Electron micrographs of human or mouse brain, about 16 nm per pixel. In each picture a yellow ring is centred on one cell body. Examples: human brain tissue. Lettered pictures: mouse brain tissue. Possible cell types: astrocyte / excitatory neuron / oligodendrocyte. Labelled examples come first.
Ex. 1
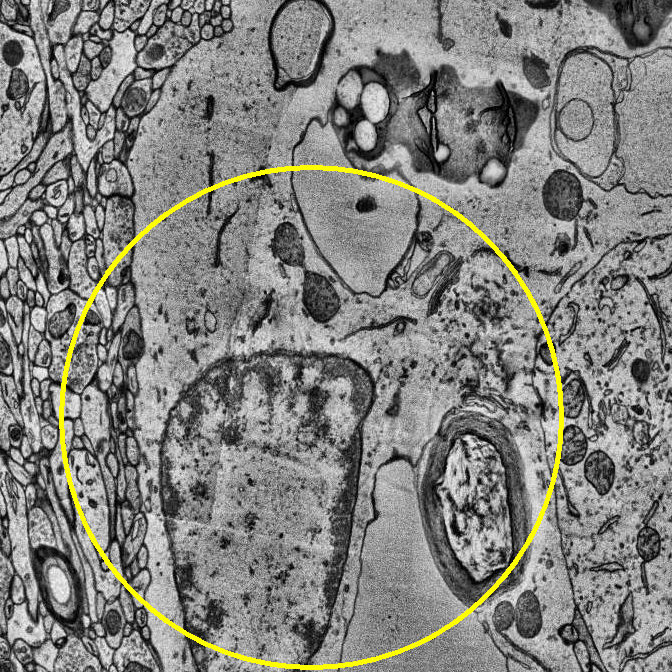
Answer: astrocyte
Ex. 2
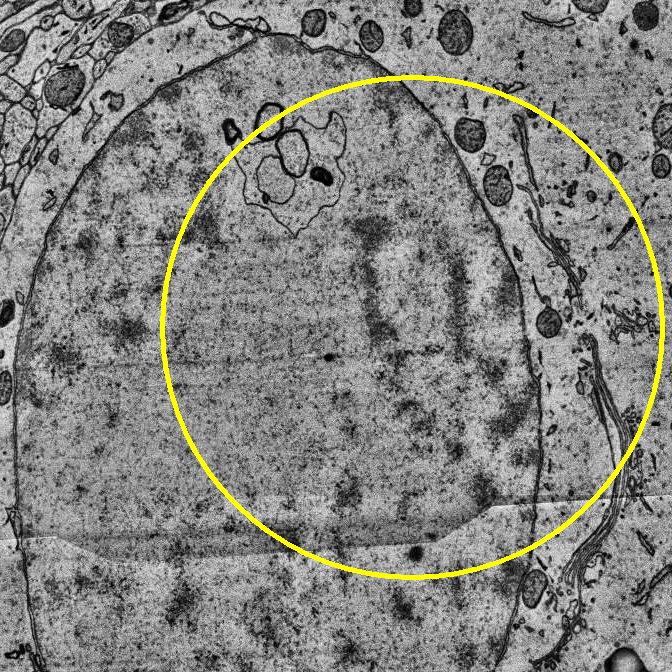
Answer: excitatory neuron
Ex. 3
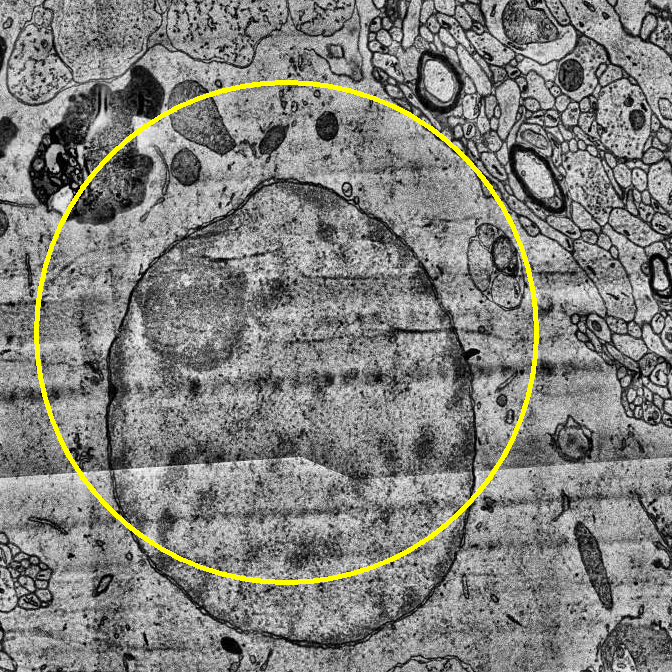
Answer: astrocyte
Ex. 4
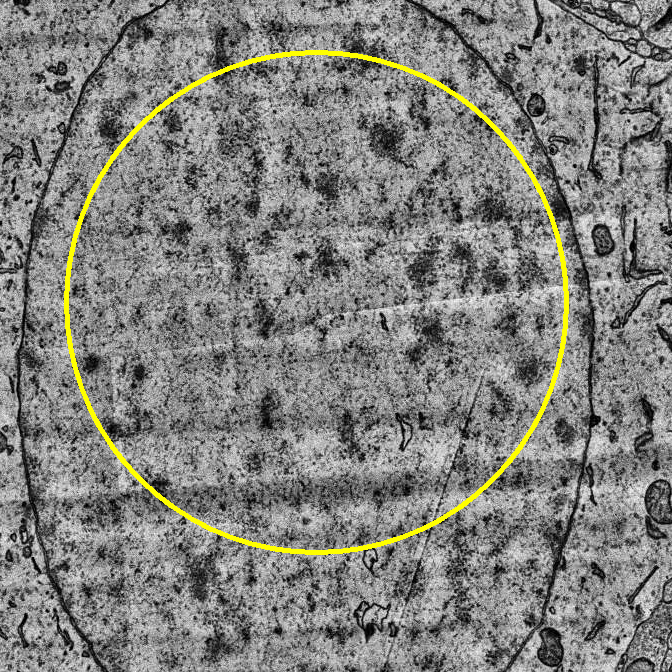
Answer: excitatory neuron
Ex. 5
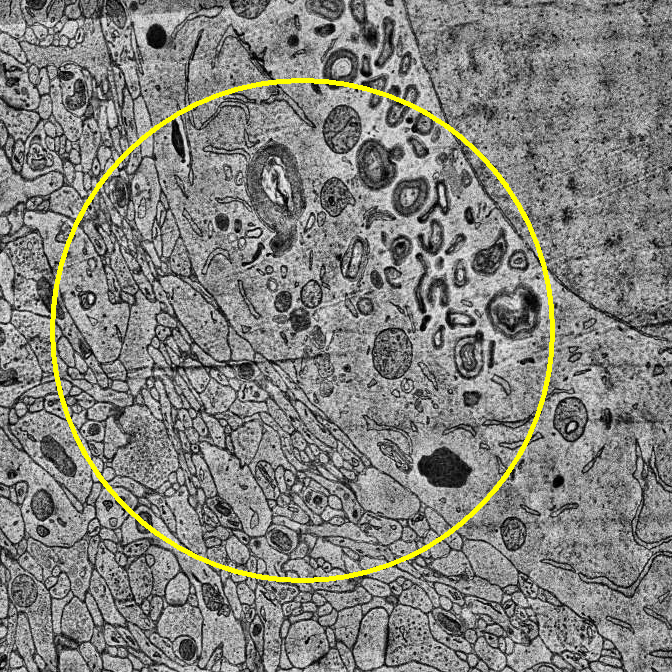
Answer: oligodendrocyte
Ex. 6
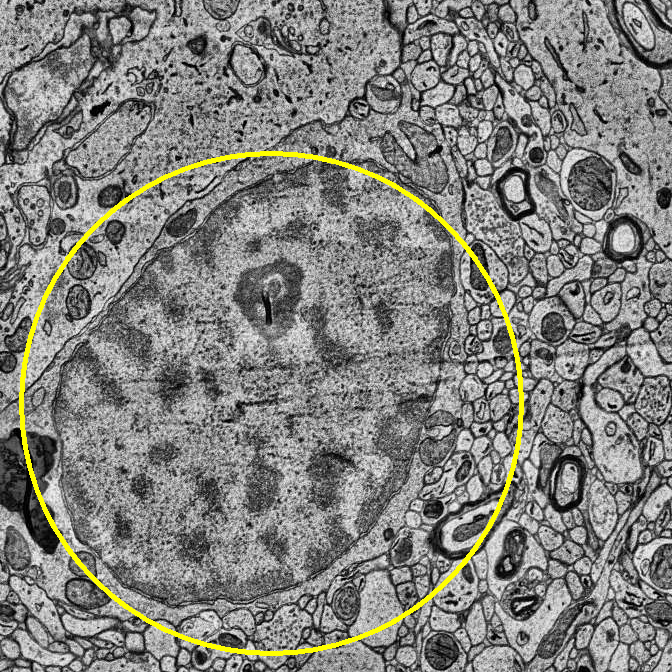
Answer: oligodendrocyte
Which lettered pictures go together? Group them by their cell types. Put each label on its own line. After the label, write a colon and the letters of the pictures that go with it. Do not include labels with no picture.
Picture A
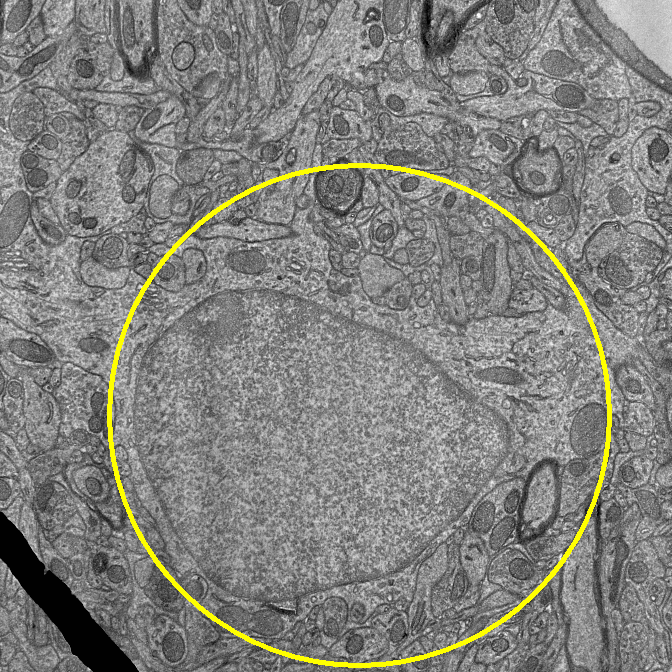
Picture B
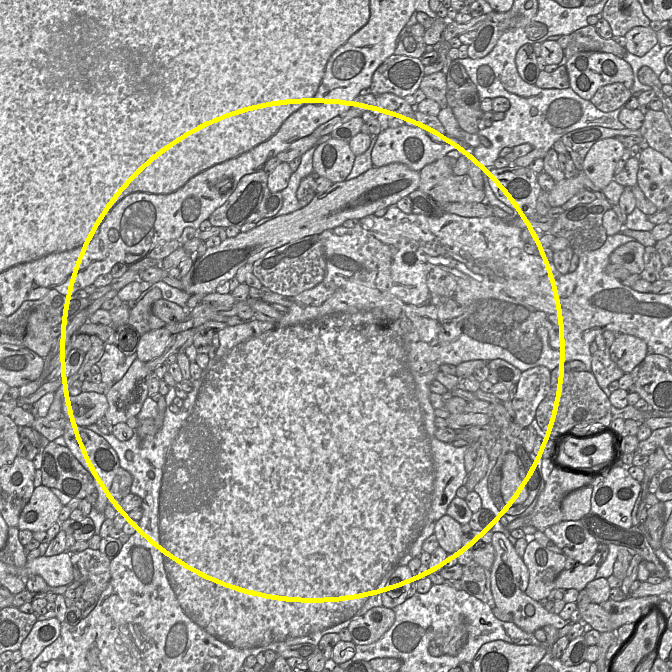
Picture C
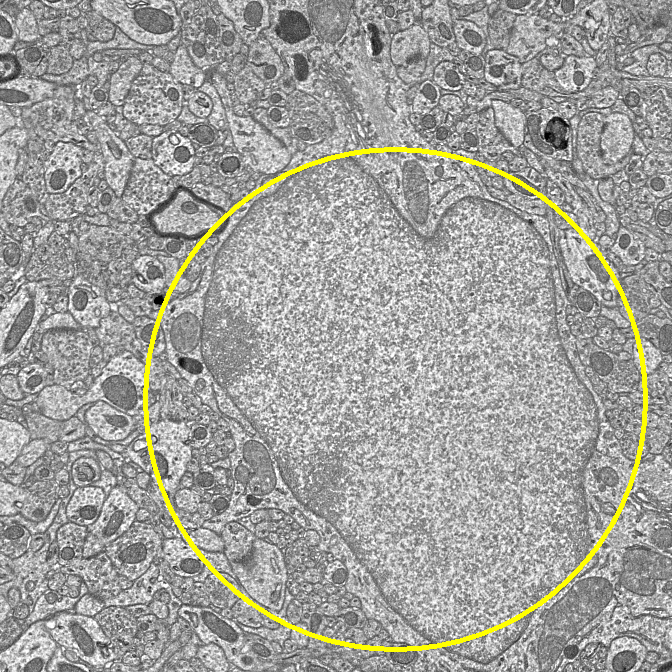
astrocyte: A, B, C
